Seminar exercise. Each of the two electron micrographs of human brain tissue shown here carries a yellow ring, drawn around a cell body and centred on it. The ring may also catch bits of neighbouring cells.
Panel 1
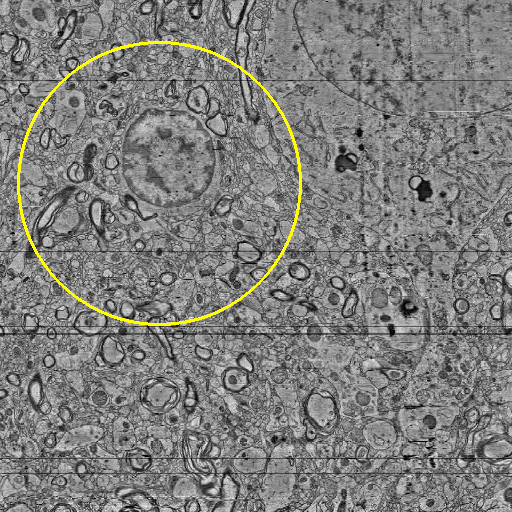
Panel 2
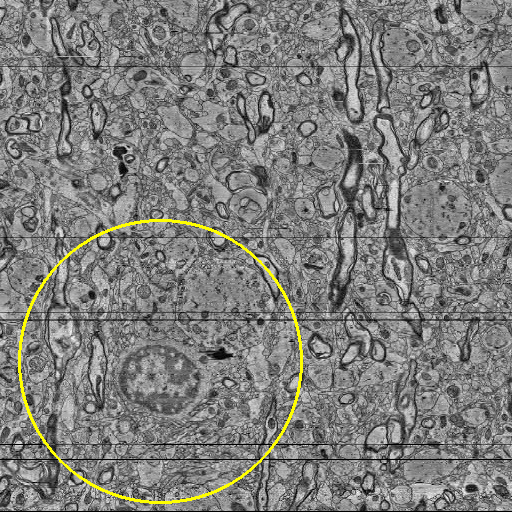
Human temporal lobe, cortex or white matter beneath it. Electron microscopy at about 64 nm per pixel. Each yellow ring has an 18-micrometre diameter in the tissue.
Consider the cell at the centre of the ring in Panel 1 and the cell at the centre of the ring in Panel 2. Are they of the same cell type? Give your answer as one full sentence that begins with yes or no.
Yes, both cells are of the same type.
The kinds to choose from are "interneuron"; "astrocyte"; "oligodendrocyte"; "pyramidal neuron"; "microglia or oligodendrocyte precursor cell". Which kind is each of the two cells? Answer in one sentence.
Each one of the two ringed cells is an oligodendrocyte.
